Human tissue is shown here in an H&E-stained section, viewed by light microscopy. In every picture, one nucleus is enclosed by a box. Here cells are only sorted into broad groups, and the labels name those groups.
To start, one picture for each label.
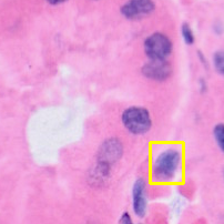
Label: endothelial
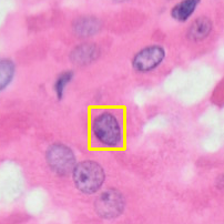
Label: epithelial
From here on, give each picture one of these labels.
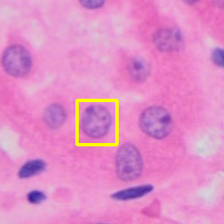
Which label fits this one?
epithelial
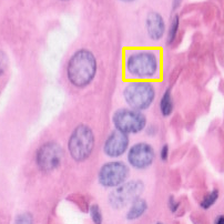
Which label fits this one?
epithelial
